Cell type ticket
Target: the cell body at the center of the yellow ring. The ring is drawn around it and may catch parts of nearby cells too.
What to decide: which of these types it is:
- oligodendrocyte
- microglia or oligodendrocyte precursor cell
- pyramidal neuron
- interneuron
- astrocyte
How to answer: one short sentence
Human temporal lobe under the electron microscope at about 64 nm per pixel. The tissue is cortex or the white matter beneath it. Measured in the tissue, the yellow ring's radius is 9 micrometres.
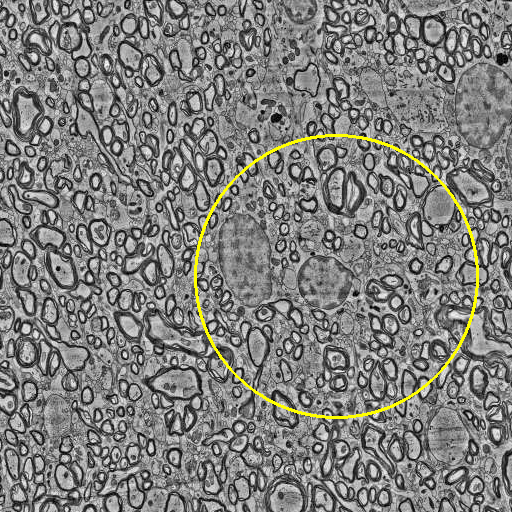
The cell at the center of the ring is a microglial cell or oligodendrocyte precursor cell.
